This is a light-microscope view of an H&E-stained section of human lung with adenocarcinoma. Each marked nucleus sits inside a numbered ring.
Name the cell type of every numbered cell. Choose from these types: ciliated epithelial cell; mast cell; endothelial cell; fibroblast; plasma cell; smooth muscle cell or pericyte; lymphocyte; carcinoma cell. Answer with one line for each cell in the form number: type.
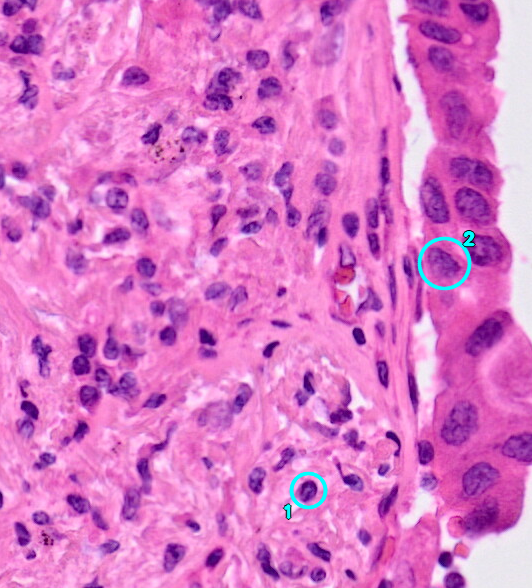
1: lymphocyte
2: carcinoma cell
